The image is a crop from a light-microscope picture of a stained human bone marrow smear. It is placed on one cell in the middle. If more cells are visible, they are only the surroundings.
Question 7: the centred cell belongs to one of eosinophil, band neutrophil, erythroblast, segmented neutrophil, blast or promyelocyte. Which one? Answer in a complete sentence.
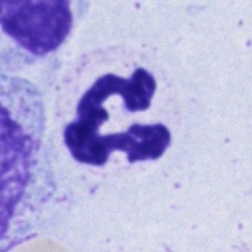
The cell centered in this field of view is a segmented neutrophil.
